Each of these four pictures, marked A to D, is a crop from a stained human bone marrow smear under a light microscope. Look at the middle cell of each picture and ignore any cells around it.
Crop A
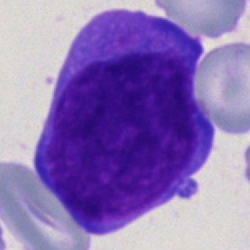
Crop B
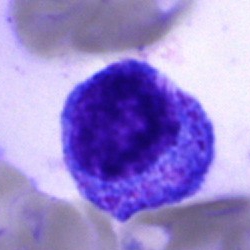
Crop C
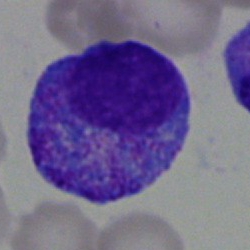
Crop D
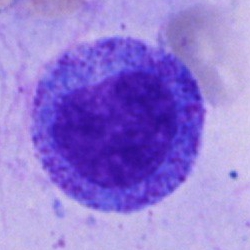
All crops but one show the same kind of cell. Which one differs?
A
